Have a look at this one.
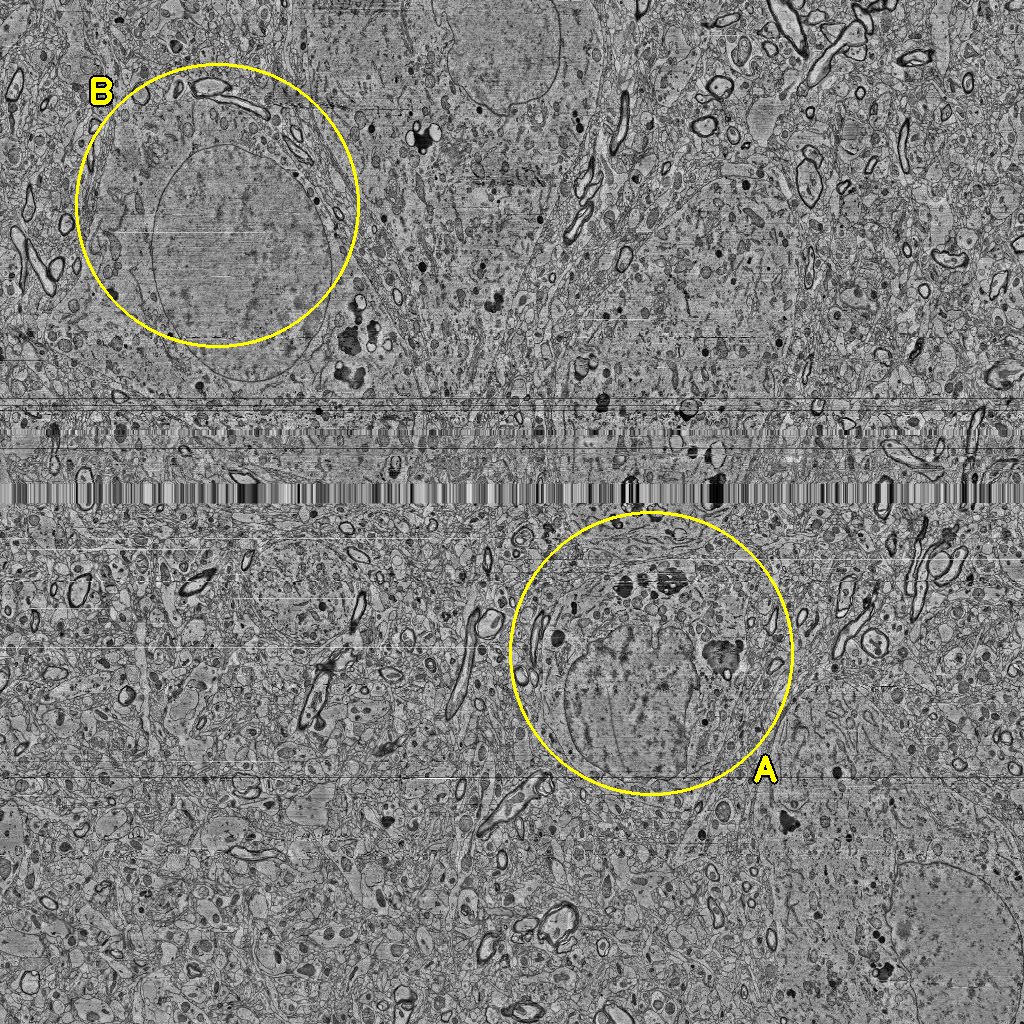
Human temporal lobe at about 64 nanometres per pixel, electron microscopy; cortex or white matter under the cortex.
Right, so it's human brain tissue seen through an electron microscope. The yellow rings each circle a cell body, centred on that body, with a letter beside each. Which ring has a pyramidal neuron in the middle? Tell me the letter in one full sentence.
That kind of cell is sitting in the middle of ring B there.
